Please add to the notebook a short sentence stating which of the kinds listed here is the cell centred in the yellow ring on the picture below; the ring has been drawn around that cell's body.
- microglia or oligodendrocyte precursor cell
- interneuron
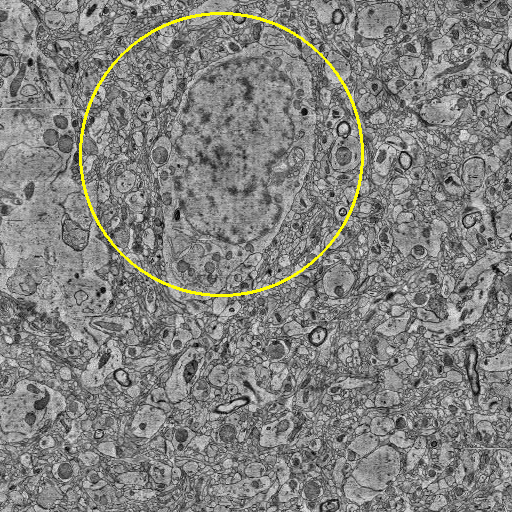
The cell centred in the yellow ring is an interneuron.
